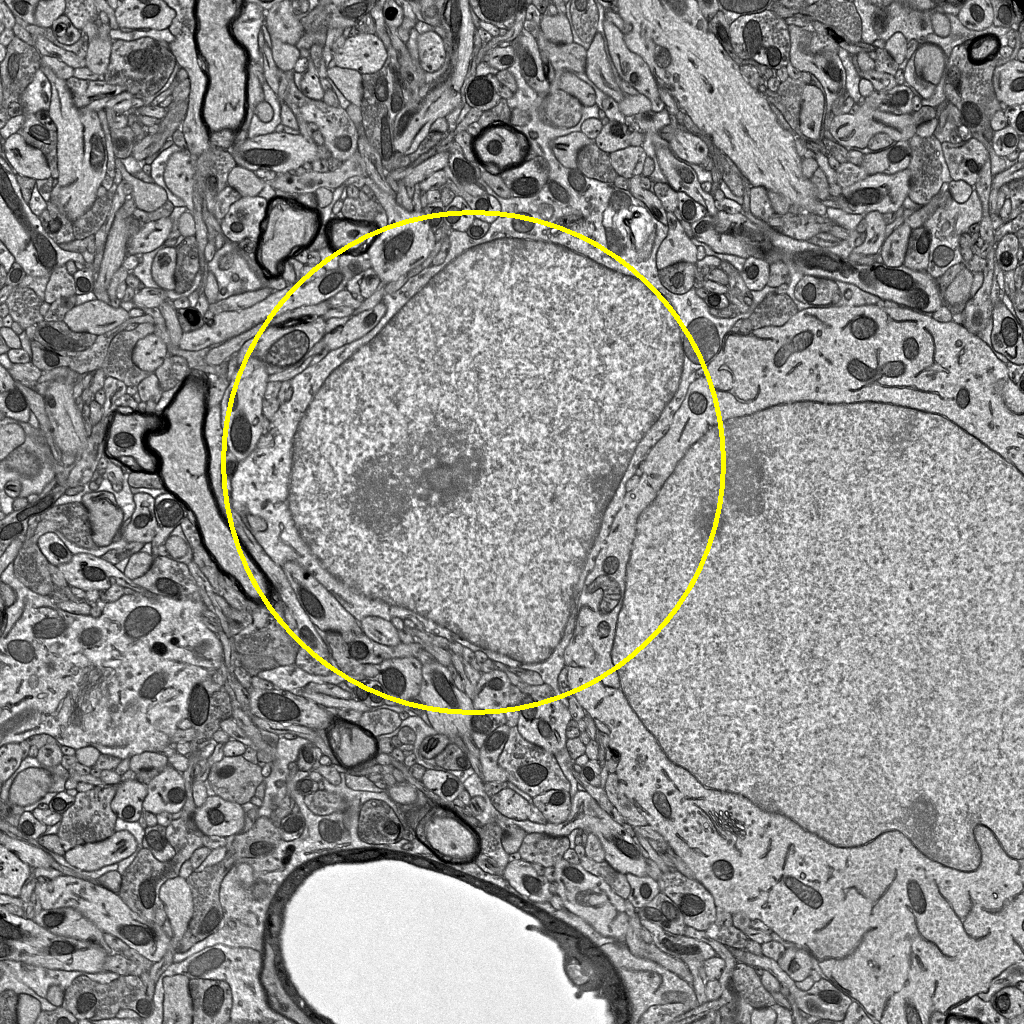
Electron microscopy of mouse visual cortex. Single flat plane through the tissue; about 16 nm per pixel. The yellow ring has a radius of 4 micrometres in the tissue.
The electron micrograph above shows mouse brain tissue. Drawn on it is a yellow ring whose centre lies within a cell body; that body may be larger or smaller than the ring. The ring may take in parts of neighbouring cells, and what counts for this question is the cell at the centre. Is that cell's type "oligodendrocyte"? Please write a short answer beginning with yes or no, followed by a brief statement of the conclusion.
No, its type is another one.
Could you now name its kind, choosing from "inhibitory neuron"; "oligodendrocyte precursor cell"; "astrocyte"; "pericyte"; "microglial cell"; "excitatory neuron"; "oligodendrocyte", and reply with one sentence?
Instead, the cell at the centre of the ring is an astrocyte.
